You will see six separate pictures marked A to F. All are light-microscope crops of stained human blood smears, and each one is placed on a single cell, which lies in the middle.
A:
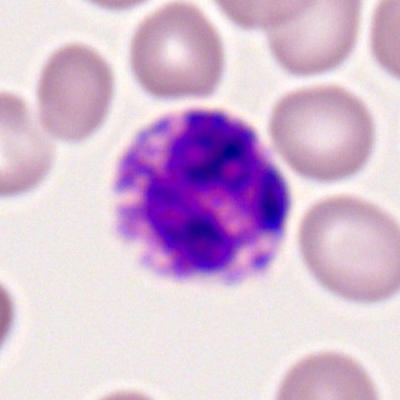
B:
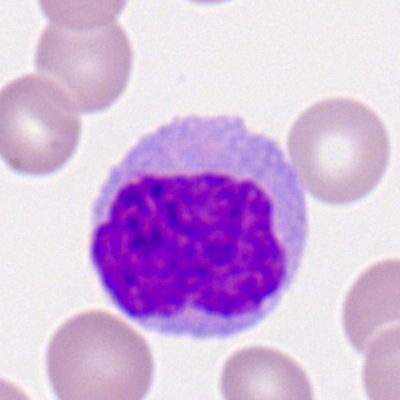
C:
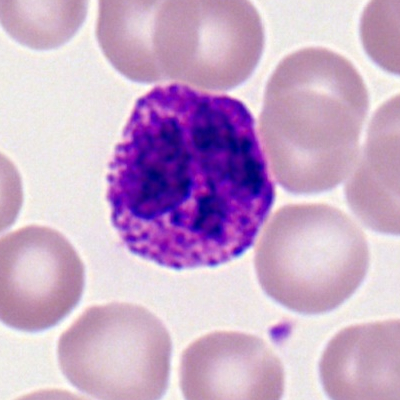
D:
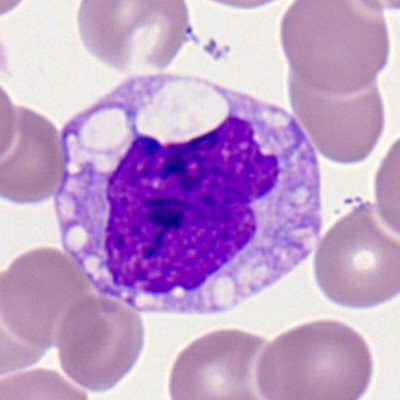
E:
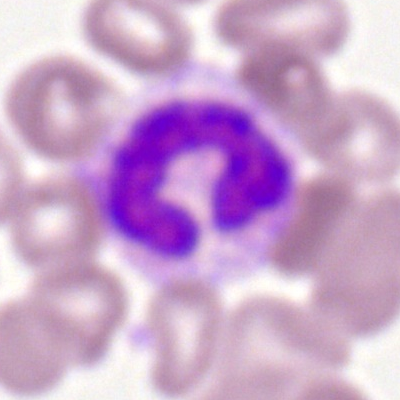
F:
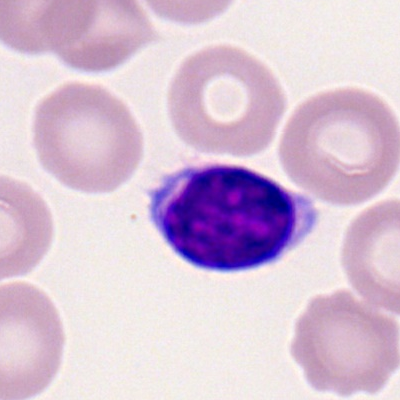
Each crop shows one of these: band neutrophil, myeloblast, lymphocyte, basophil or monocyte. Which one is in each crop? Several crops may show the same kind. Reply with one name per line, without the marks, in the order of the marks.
basophil
monocyte
basophil
monocyte
band neutrophil
lymphocyte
